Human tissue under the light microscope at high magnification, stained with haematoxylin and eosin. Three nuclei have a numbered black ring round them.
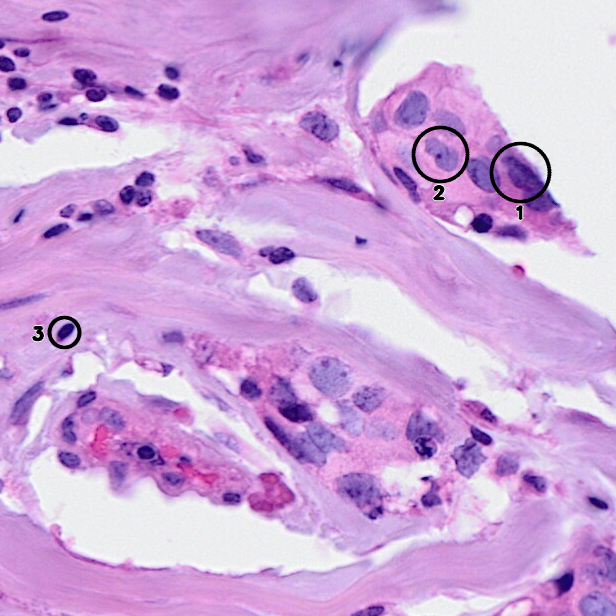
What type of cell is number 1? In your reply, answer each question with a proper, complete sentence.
The nucleus labeled 1 belongs to a carcinoma cell.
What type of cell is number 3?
That cell with number 3 is a lymphocyte.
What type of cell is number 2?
The nucleus labeled 2 belongs to a carcinoma cell.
